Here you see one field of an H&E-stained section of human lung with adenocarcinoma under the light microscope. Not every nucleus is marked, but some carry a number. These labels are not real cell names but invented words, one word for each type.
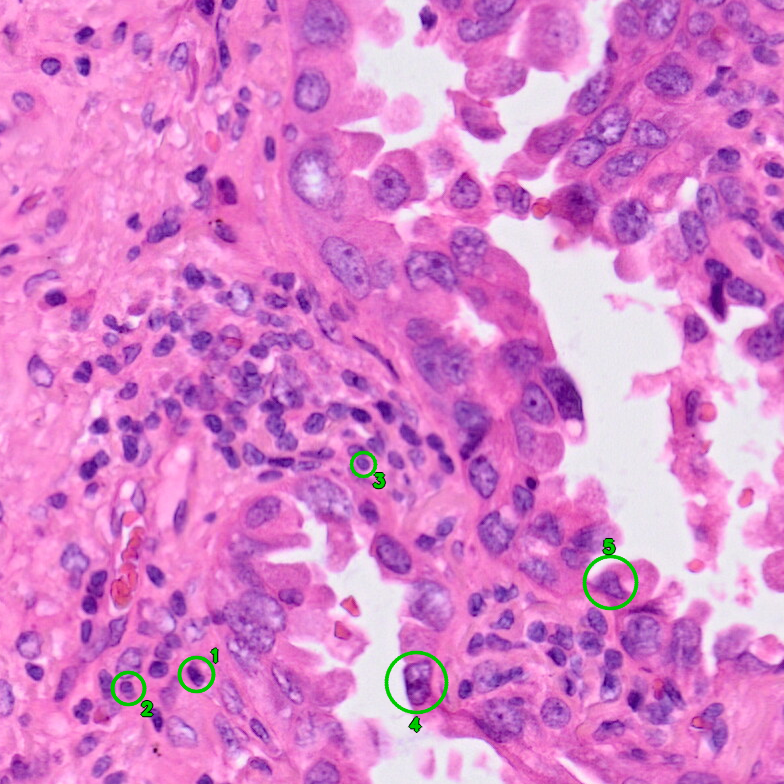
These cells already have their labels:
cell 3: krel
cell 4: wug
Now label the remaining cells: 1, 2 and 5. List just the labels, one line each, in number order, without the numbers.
krel
krel
wug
